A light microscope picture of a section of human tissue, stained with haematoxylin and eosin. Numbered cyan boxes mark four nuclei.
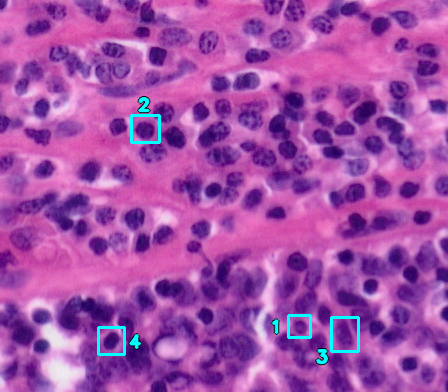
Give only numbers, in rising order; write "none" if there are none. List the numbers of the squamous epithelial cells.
1, 3, 4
